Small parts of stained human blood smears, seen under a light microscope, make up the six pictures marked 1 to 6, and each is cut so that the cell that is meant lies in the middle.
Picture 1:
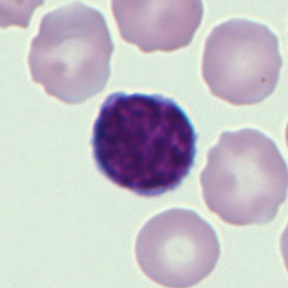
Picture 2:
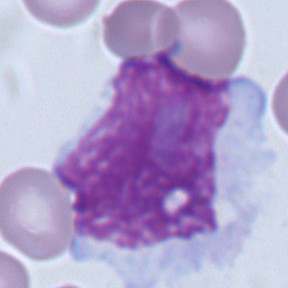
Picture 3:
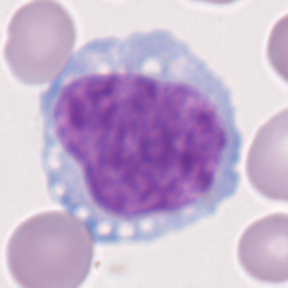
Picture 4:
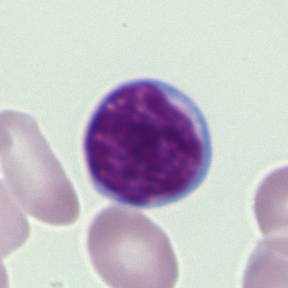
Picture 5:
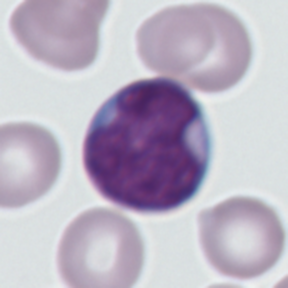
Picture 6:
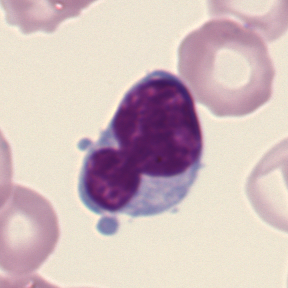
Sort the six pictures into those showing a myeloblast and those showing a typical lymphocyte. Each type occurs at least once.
1: typical lymphocyte
2: myeloblast
3: myeloblast
4: typical lymphocyte
5: myeloblast
6: typical lymphocyte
